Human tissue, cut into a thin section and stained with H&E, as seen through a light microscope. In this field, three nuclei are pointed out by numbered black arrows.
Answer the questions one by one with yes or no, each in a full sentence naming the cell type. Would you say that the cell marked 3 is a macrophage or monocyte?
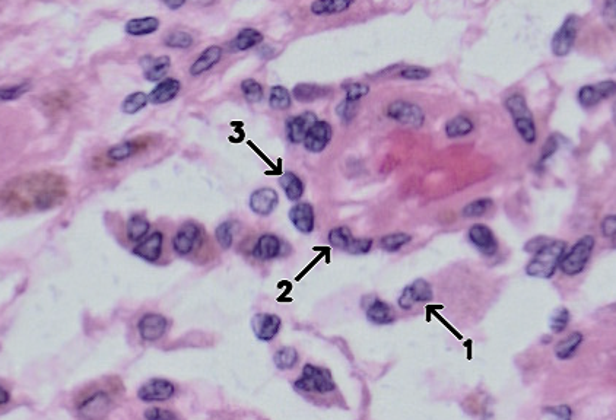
No, the cell under number 3 is a lymphocyte instead of a macrophage or monocyte.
